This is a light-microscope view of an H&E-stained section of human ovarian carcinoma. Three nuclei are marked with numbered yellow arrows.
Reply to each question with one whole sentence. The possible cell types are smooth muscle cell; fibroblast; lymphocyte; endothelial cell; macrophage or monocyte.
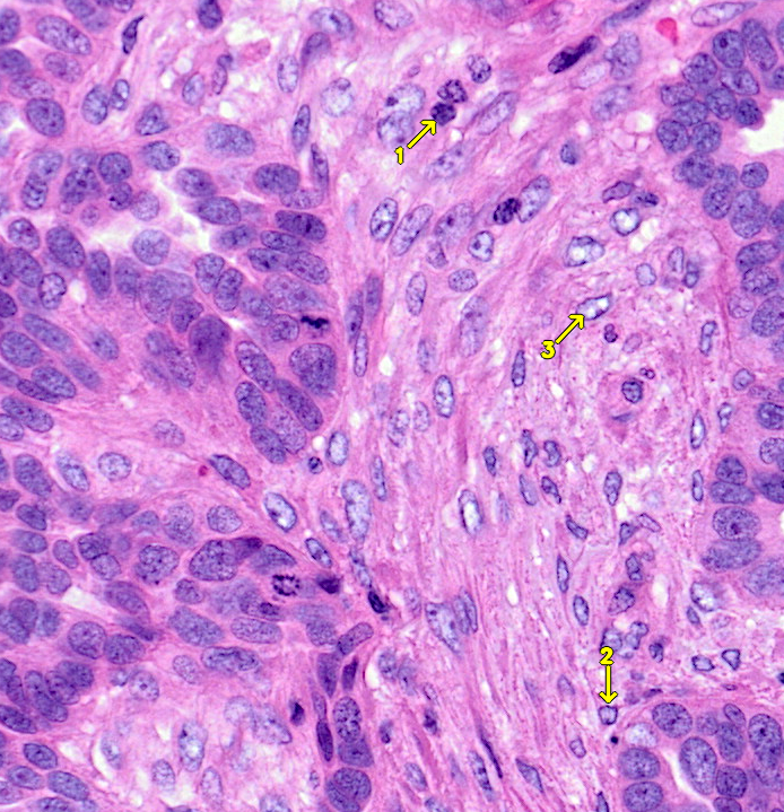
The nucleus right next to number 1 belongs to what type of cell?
The nucleus nearest to number 1 is that of a macrophage or monocyte.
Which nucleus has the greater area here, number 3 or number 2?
The larger nucleus is 3, at roughly 2 times the area of 2.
